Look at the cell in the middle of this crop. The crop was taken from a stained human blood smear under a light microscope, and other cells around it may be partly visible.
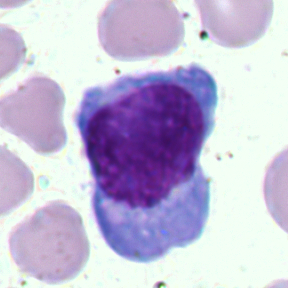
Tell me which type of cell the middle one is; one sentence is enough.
Present in the middle of the crop is a plasma cell.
